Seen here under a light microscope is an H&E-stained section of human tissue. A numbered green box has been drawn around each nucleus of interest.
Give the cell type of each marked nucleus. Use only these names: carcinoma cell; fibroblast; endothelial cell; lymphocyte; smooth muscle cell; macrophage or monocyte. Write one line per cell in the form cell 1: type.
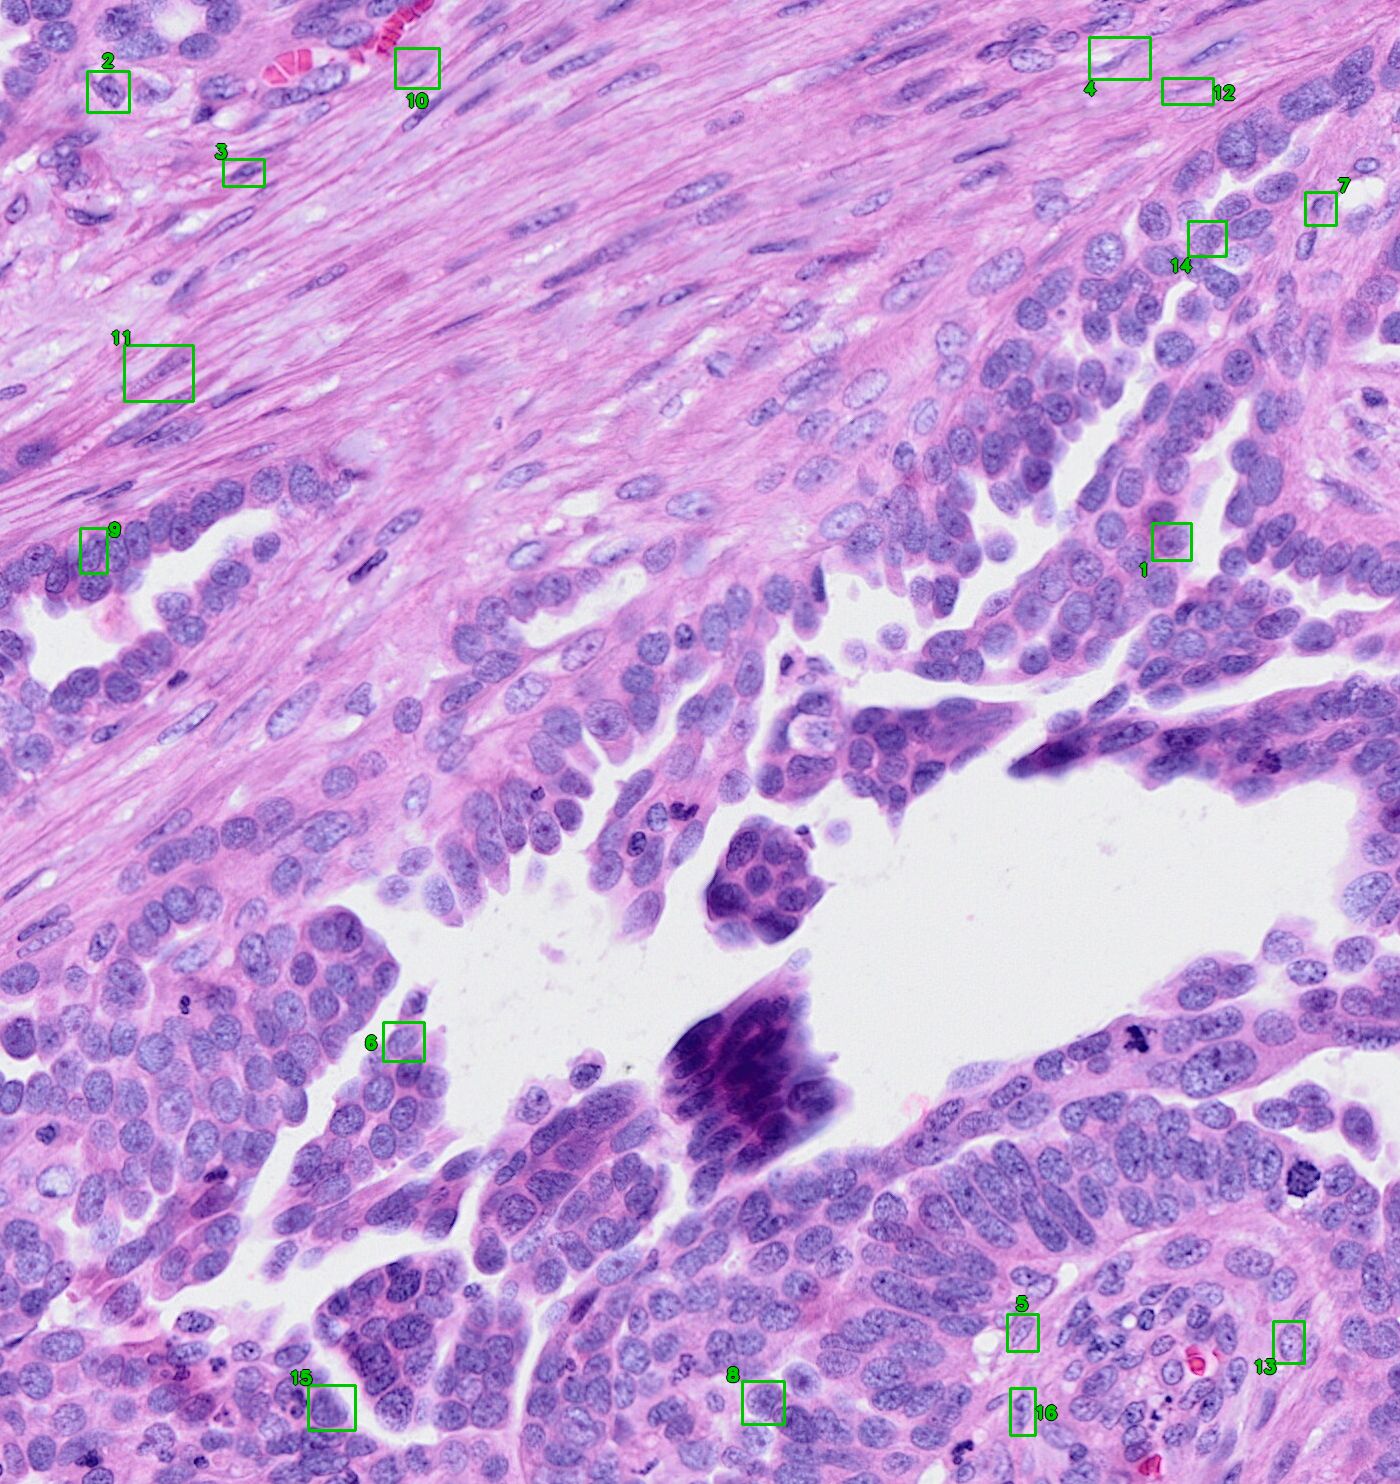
cell 1: carcinoma cell
cell 2: macrophage or monocyte
cell 3: fibroblast
cell 4: fibroblast
cell 5: fibroblast
cell 6: carcinoma cell
cell 7: fibroblast
cell 8: carcinoma cell
cell 9: carcinoma cell
cell 10: fibroblast
cell 11: fibroblast
cell 12: fibroblast
cell 13: fibroblast
cell 14: carcinoma cell
cell 15: carcinoma cell
cell 16: fibroblast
